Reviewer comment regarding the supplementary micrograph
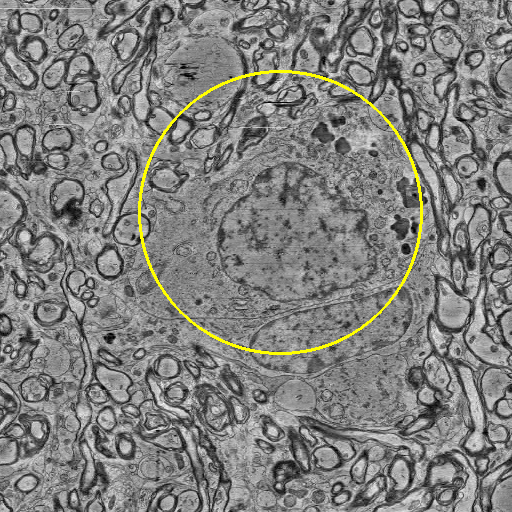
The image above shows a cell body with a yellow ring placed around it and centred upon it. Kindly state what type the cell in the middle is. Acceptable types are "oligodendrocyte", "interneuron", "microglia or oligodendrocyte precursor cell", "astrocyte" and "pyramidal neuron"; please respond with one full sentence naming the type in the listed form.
In the image above, the cell on which the yellow ring is centred is an interneuron.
